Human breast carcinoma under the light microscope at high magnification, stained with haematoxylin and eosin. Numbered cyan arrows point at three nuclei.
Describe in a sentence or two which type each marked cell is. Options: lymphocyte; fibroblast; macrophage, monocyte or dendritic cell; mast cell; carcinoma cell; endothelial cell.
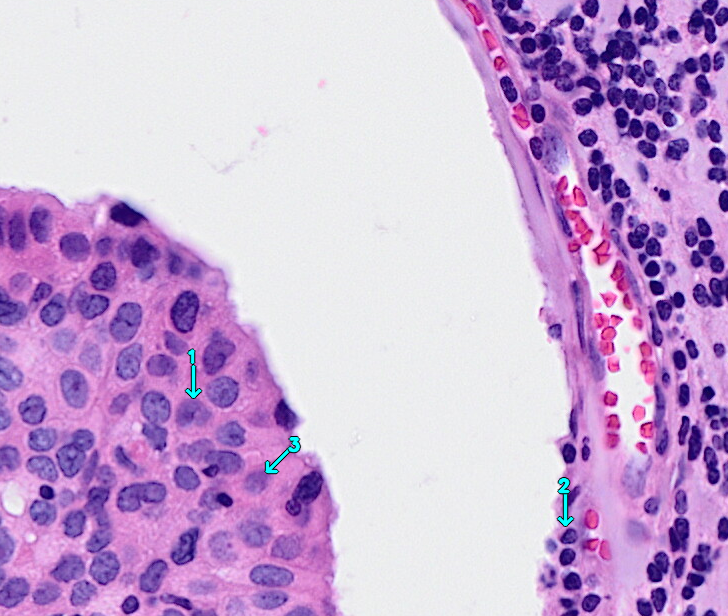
Cell 1 is a carcinoma cell, cell 2 is a lymphocyte and cell 3 is a carcinoma cell.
